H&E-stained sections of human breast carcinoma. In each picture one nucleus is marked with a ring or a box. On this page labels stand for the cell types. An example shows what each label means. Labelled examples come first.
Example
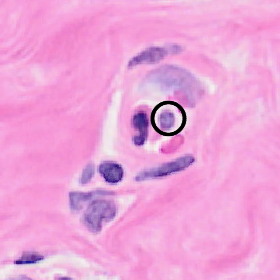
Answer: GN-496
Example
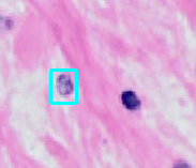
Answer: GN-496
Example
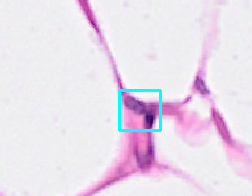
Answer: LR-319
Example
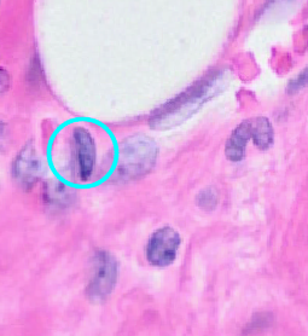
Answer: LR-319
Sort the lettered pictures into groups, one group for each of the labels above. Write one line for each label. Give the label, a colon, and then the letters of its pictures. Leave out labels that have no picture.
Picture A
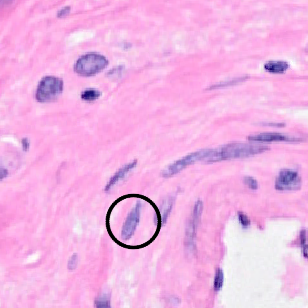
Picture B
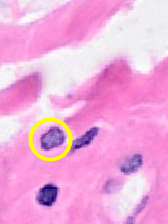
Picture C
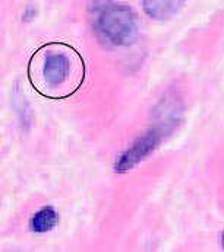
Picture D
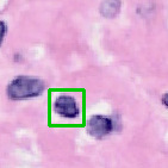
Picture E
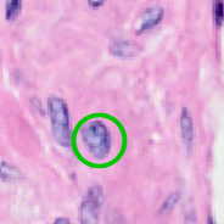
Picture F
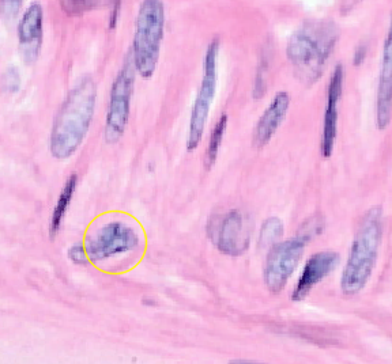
GN-496: B, C, D
LR-319: A, E, F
